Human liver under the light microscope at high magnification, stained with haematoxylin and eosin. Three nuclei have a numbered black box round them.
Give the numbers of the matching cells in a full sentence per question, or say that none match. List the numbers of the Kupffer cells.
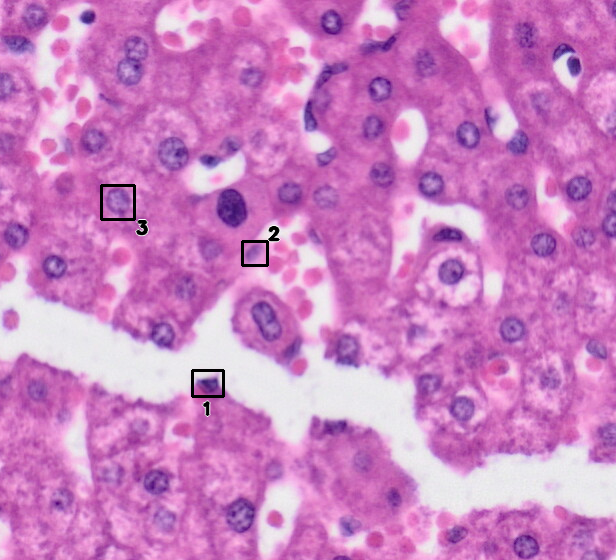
Cell 2 is the one numbered cell that is a Kupffer cell.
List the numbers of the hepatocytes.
Only the cell marked 3 is a hepatocyte.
